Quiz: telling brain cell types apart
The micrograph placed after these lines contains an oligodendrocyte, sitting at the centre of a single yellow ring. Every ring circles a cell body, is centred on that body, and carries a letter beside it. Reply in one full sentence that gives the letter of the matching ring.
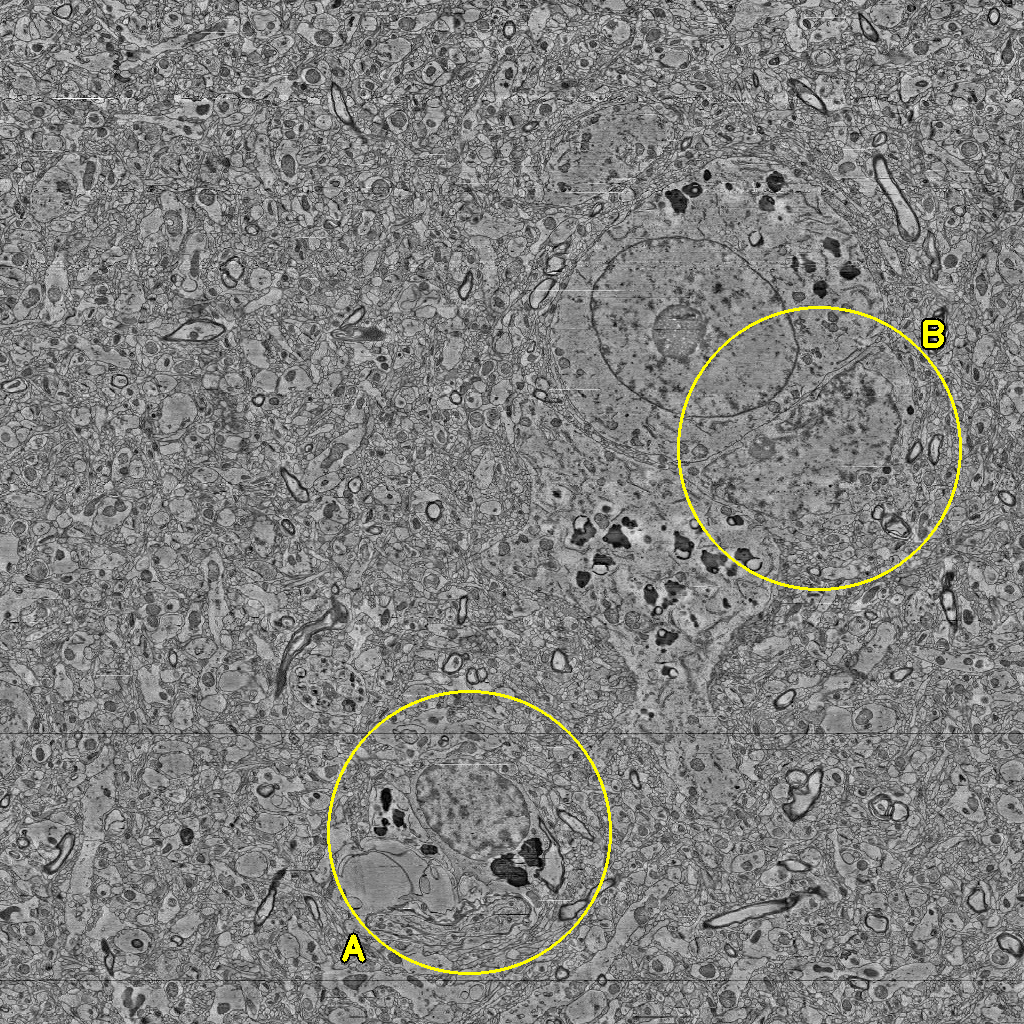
The cell asked for lies at the centre of ring A in the picture.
